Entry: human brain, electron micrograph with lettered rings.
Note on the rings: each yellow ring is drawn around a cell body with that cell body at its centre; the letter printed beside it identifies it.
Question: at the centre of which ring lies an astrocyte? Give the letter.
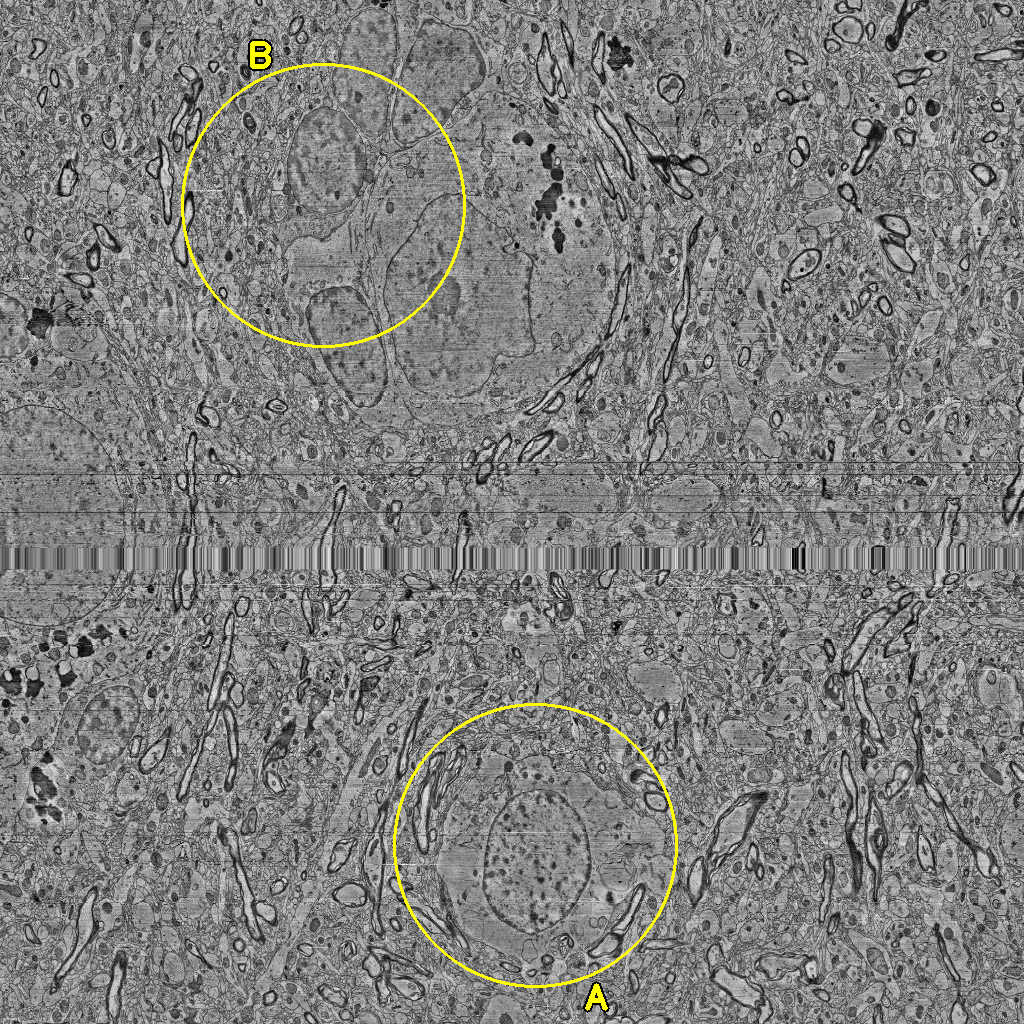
A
